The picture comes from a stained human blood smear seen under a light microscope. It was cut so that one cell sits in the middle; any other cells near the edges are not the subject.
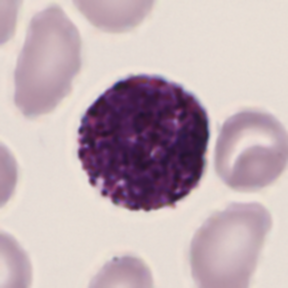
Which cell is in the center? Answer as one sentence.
As for the central cell, it is a basophil.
